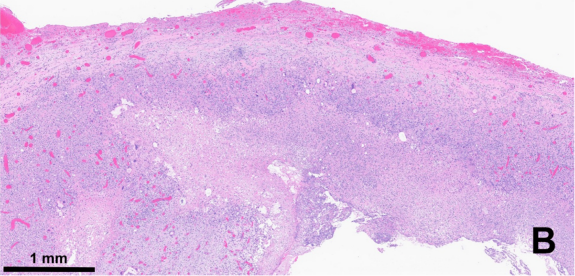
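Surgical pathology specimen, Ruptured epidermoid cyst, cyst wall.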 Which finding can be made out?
Granulation tissue.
